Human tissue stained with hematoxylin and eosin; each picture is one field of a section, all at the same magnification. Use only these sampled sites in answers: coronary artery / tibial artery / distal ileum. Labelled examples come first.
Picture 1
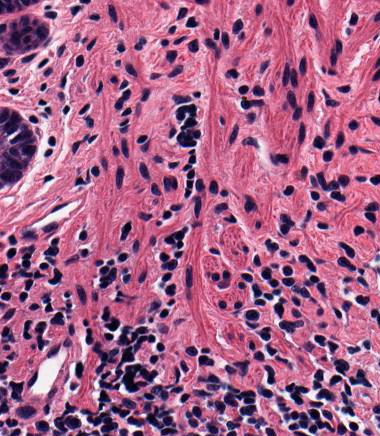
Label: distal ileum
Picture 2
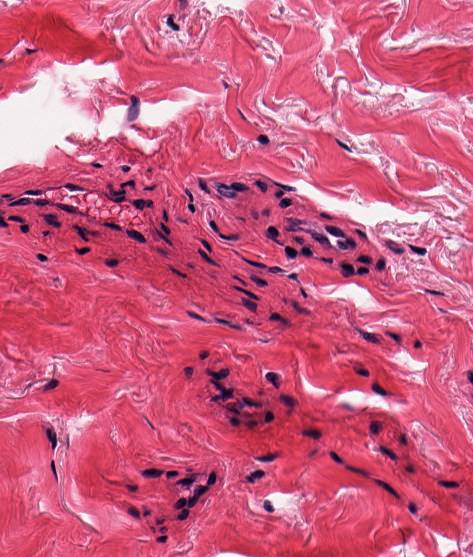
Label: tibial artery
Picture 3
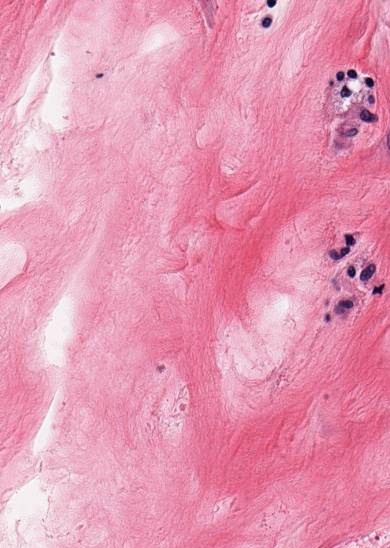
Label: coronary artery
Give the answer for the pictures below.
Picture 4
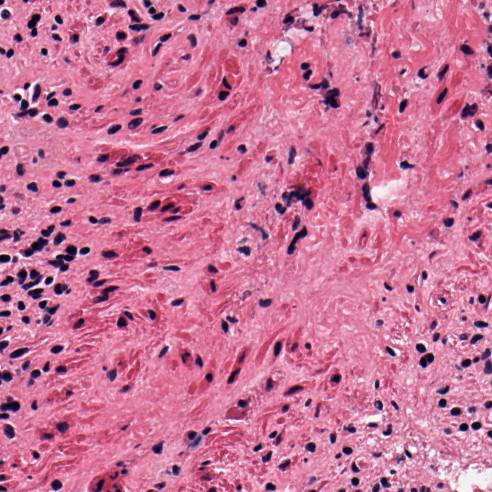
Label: distal ileum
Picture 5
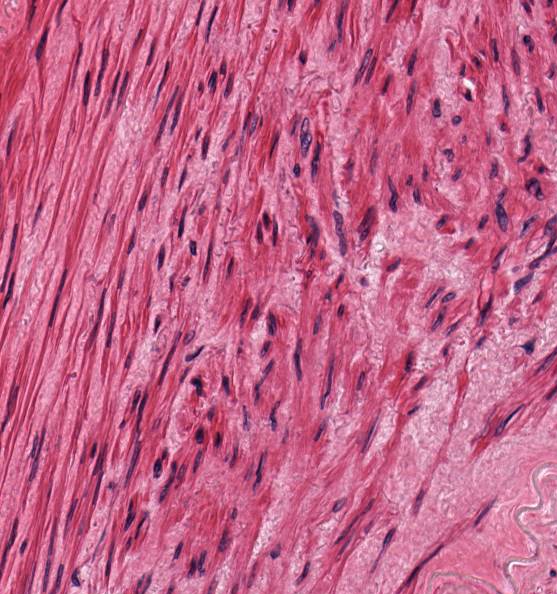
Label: tibial artery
